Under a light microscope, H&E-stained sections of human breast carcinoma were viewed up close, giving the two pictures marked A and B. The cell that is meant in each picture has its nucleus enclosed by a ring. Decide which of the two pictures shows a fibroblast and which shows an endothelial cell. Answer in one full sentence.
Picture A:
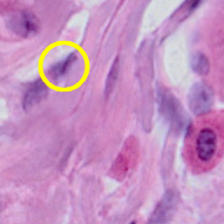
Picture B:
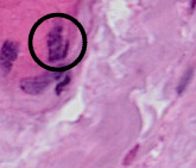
Picture A is of a fibroblast, and picture B is of an endothelial cell.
